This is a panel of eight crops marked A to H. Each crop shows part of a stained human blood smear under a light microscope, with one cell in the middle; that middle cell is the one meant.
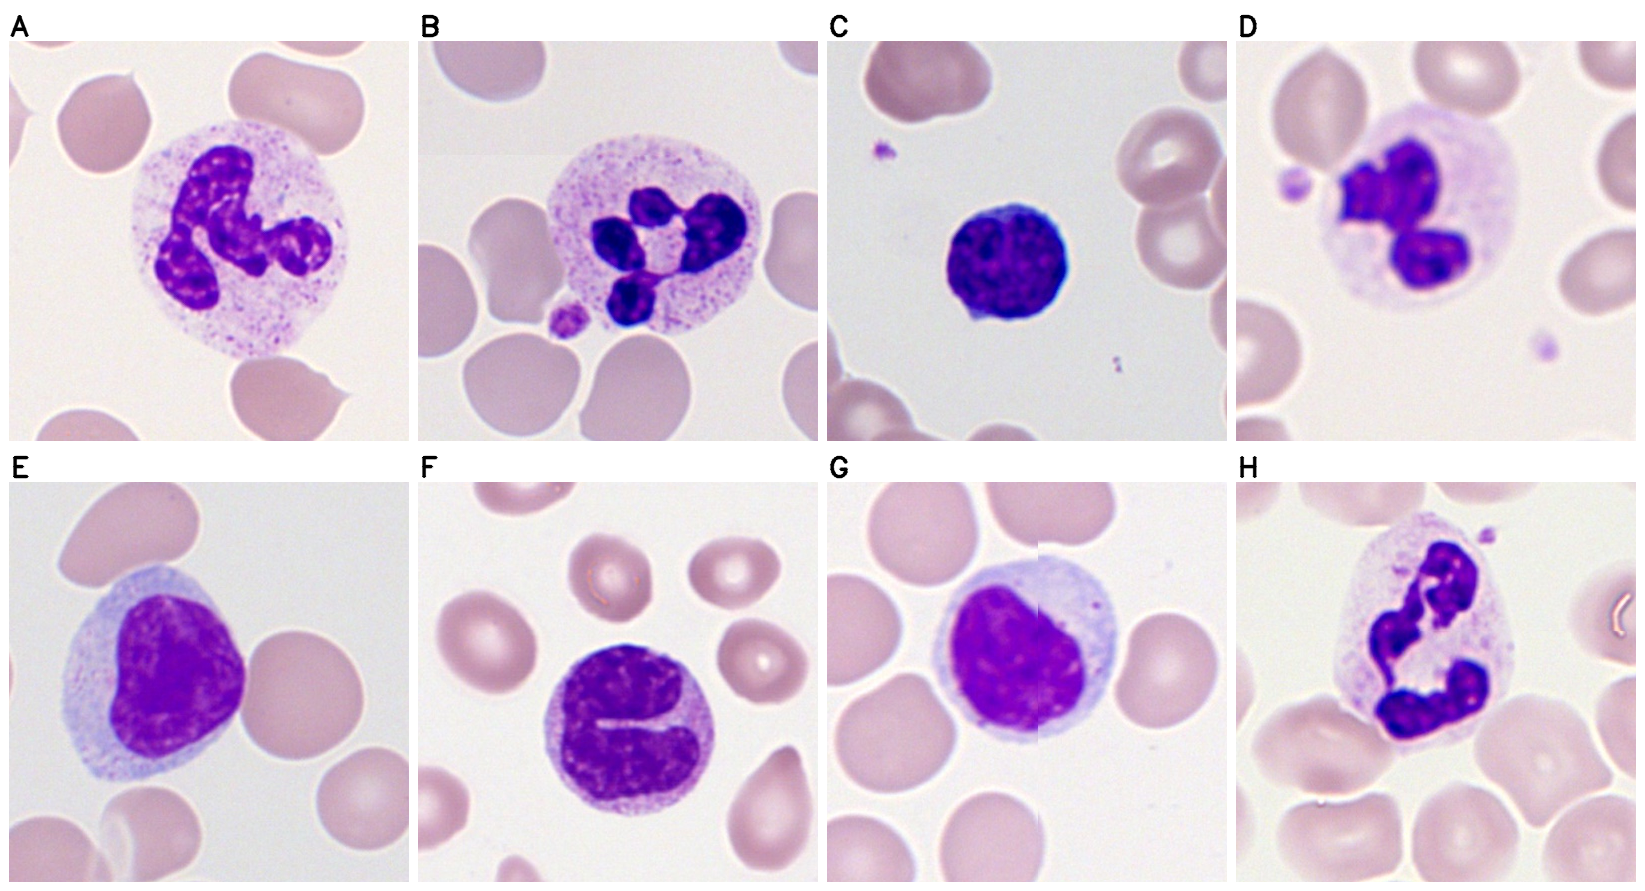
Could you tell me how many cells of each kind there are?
segmented neutrophil: 4
lymphocyte: 3
monocyte: 1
